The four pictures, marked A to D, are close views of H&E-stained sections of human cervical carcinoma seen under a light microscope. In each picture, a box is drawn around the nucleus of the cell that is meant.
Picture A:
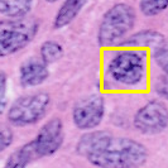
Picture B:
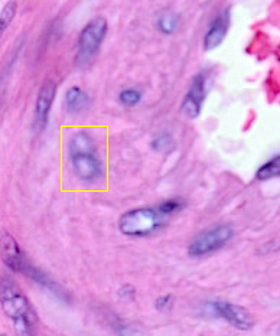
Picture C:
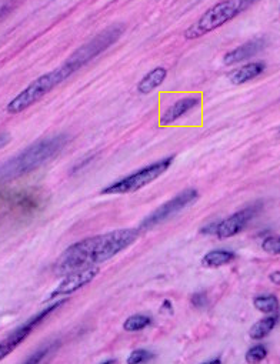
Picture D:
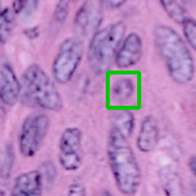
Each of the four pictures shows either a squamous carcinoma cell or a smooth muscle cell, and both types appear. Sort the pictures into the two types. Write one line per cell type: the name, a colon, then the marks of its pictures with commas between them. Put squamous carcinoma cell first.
squamous carcinoma cell: A, D
smooth muscle cell: B, C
